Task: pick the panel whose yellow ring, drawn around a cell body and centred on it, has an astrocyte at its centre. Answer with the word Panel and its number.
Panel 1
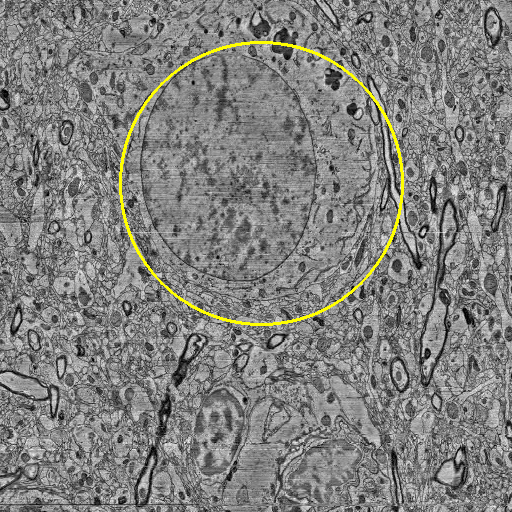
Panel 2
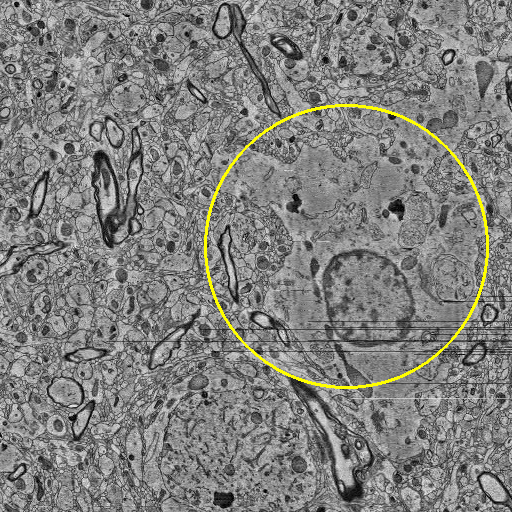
Panel 2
